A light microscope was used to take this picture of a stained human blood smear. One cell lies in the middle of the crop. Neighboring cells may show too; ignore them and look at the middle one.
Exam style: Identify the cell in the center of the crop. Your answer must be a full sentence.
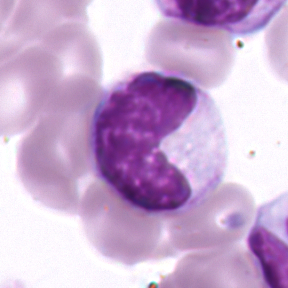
The middle position in this crop is taken by a metamyelocyte.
